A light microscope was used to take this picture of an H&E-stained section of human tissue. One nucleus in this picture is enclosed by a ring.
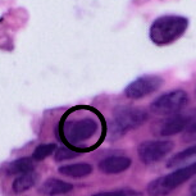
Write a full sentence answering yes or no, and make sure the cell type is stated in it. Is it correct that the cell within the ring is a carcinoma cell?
Yes, in short, the cell within the ring is a carcinoma cell here.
